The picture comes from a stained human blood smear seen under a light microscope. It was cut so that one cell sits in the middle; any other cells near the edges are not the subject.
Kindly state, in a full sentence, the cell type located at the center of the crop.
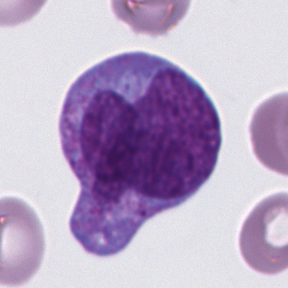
As for the cell in the middle, it is an atypical promyelocyte.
